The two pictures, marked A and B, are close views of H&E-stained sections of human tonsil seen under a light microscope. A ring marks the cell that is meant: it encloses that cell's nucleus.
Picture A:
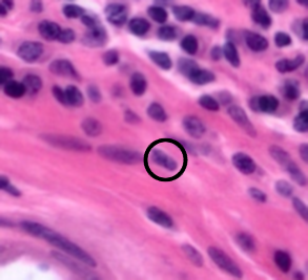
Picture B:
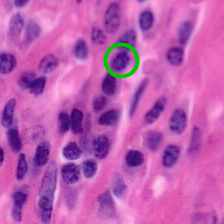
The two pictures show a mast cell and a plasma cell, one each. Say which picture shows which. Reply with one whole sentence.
The cell in picture A is a mast cell, and the one in picture B is a plasma cell.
